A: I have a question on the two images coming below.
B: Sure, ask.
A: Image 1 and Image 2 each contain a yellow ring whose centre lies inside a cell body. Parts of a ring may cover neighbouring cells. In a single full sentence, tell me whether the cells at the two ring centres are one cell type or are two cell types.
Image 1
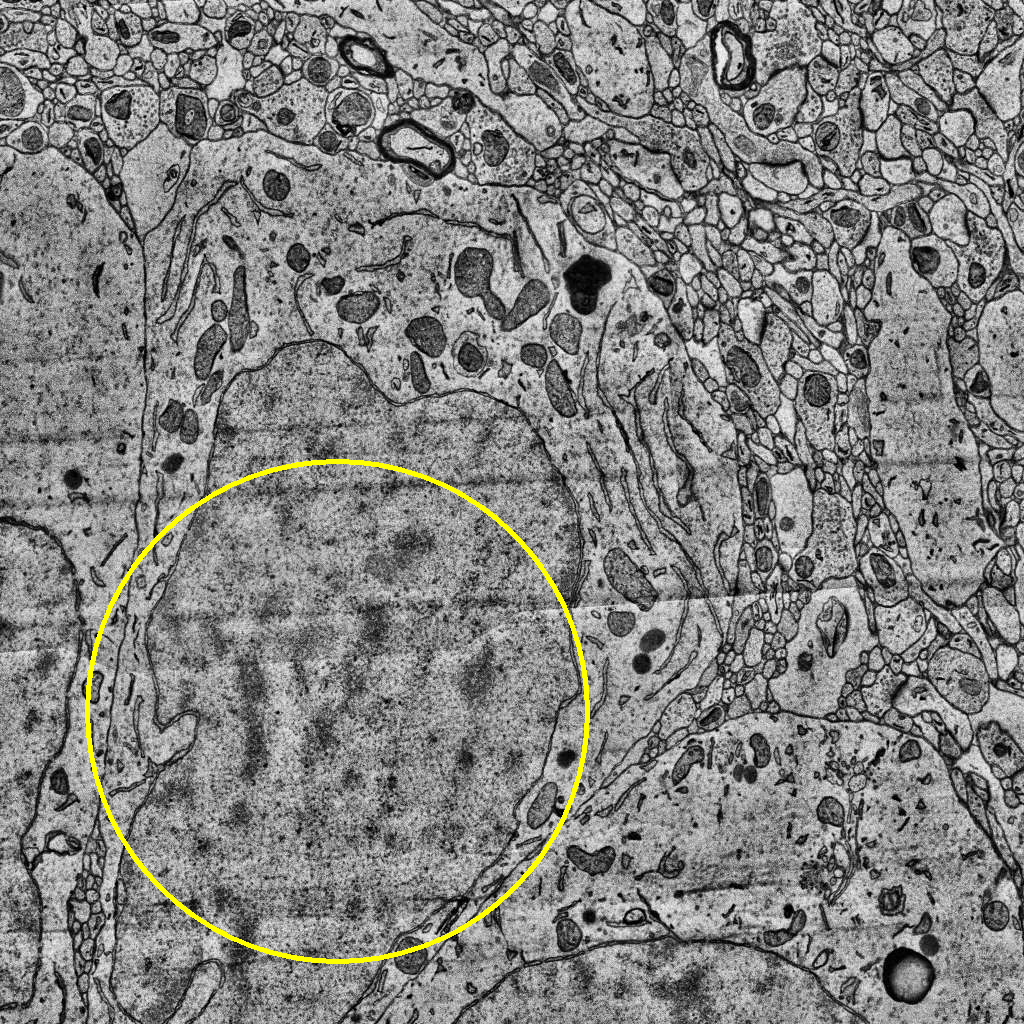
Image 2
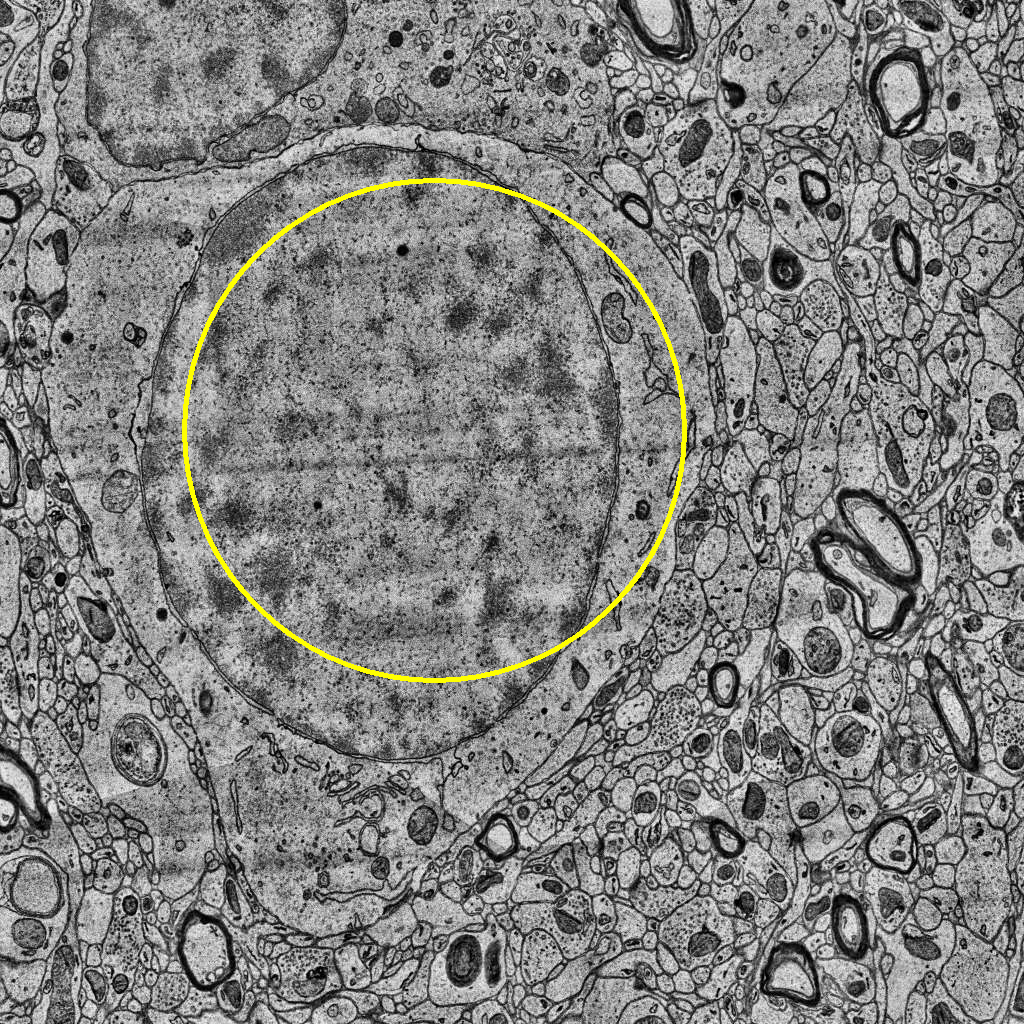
As for the ring-centre cells, the one in Image 1 and the one in Image 2 are one cell type.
